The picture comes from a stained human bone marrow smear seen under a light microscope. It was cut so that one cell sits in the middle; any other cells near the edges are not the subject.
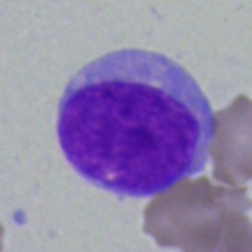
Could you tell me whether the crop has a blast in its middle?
yes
